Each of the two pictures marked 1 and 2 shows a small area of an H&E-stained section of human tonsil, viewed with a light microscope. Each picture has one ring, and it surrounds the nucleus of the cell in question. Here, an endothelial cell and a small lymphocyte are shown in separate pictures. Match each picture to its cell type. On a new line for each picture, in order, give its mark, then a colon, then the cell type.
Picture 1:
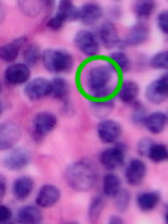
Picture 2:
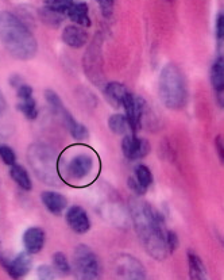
1: small lymphocyte
2: endothelial cell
